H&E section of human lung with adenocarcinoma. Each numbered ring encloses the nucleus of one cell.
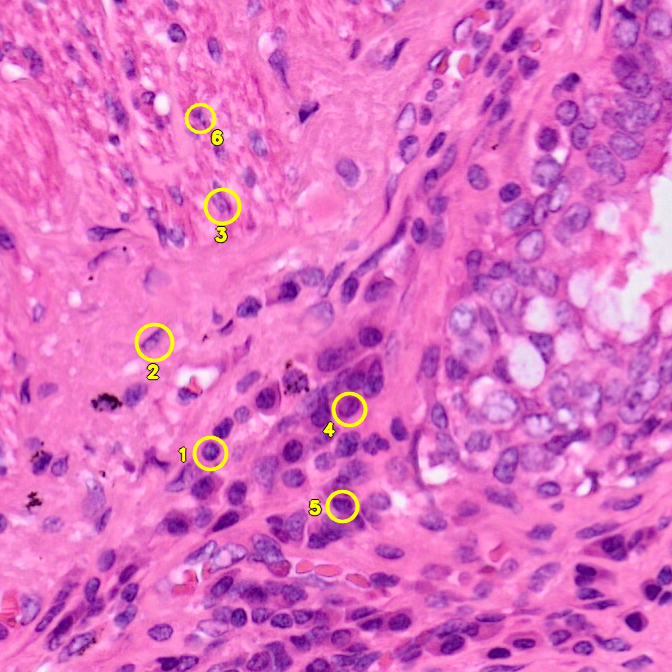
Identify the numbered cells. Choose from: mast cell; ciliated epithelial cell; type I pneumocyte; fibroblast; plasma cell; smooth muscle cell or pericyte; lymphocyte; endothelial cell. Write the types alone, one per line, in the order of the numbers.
mast cell
fibroblast
smooth muscle cell or pericyte
plasma cell
plasma cell
smooth muscle cell or pericyte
